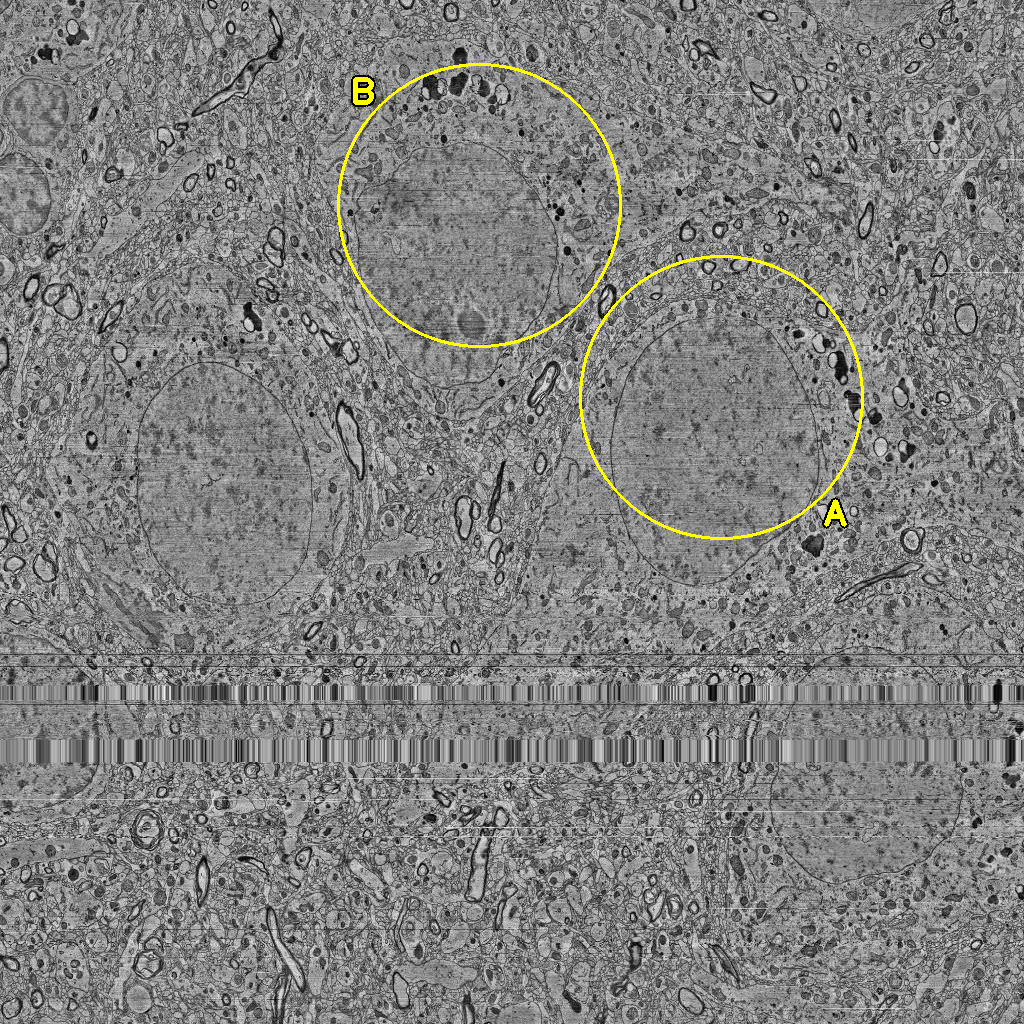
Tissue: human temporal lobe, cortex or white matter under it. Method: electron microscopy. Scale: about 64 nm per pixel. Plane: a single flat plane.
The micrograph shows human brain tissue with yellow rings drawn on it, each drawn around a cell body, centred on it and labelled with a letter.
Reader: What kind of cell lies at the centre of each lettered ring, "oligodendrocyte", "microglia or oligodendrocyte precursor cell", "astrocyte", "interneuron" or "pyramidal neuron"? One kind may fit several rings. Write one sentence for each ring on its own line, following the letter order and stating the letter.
At the centre of ring A lies a pyramidal neuron.
At the centre of ring B lies a pyramidal neuron.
